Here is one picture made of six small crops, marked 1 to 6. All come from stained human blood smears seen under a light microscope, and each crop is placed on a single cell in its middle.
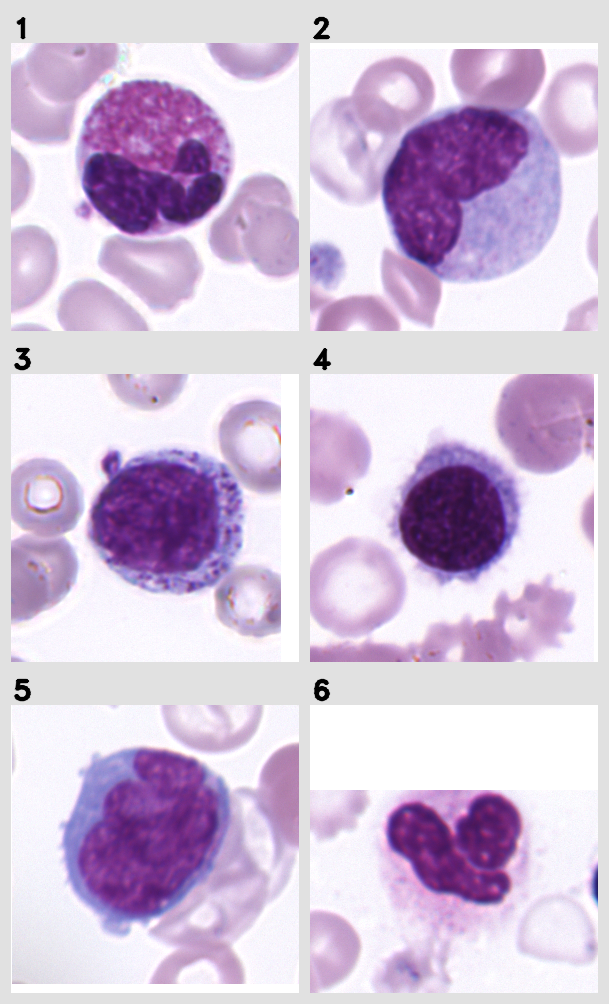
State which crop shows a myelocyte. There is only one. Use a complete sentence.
The crop marked 3 is the one in which a myelocyte is shown.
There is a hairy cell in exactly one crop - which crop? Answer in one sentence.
Crop 4 is the crop containing a hairy cell.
